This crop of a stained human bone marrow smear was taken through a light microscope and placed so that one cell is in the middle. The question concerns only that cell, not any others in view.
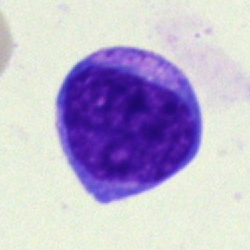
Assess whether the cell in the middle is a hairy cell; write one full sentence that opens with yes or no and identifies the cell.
No, the central cell is not a hairy cell, being instead a blast.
